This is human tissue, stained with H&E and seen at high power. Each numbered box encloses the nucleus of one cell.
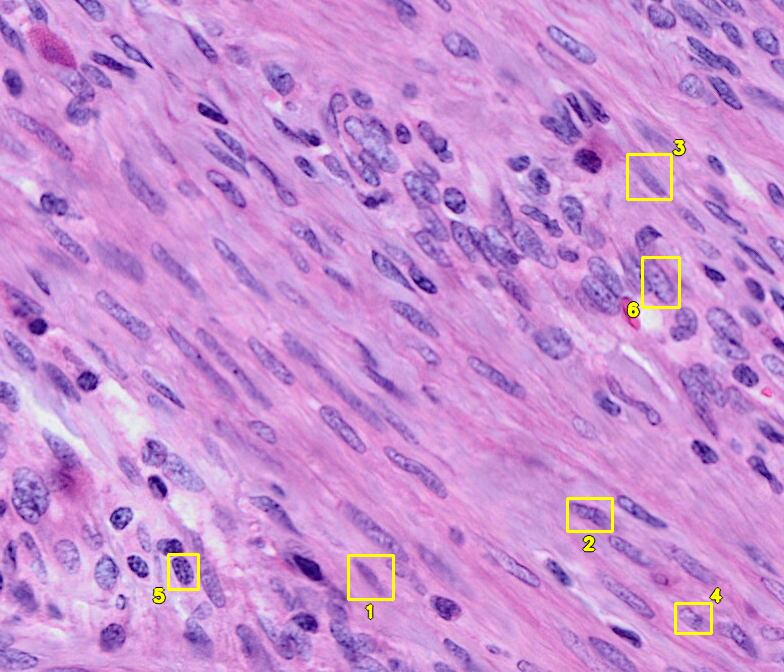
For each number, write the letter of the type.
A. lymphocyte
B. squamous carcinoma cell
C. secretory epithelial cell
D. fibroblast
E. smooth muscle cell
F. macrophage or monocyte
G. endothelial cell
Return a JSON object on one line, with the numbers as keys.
{"1": "D", "2": "E", "3": "D", "4": "E", "5": "A", "6": "G"}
